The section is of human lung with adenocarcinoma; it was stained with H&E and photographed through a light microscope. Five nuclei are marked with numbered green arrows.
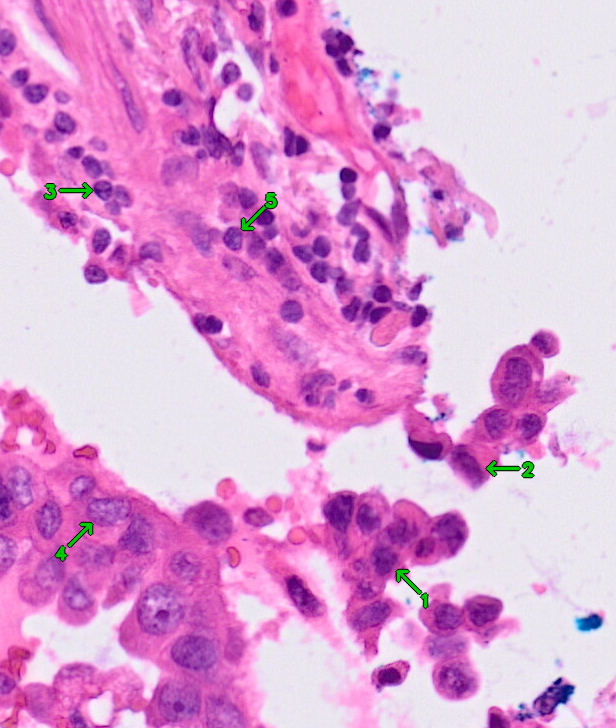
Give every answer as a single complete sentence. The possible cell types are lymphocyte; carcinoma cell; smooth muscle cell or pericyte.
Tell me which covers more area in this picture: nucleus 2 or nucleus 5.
It is nucleus 2, which covers about 2.5 times the area of nucleus 5.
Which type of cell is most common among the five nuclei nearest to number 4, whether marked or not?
Of the five nuclei nearest to number 4, most belong to carcinoma cells.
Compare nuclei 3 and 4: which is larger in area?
Number 4 is larger; its area is about 2 times that of number 3.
